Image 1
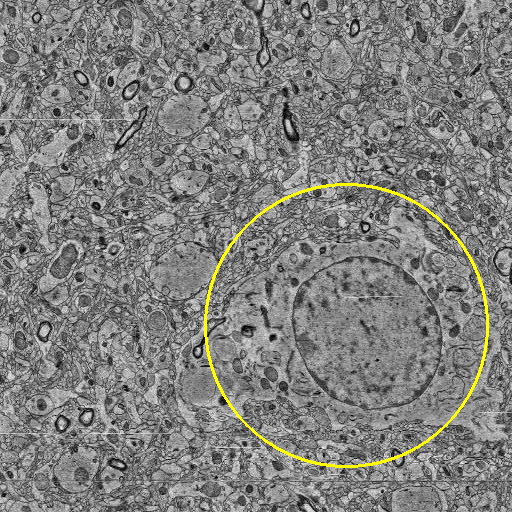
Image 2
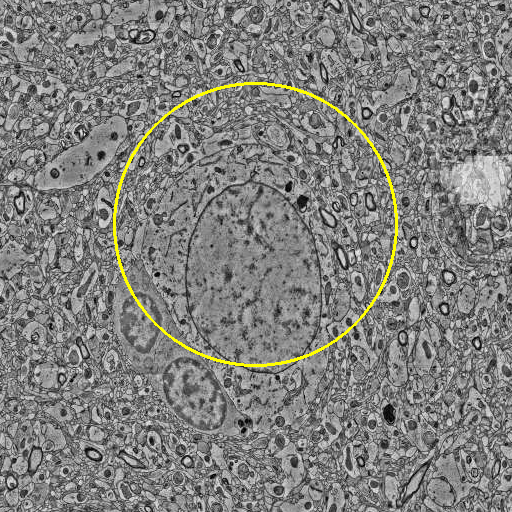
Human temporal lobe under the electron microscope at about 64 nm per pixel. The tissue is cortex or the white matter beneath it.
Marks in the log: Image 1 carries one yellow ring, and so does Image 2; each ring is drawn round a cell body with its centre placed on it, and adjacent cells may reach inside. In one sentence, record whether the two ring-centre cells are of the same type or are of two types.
The two cells at the ring centres, one in each image, are of two types.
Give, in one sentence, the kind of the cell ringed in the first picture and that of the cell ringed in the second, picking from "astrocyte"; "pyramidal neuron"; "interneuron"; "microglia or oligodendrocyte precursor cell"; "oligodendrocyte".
For the first picture it is an astrocyte; for the second, a pyramidal neuron.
